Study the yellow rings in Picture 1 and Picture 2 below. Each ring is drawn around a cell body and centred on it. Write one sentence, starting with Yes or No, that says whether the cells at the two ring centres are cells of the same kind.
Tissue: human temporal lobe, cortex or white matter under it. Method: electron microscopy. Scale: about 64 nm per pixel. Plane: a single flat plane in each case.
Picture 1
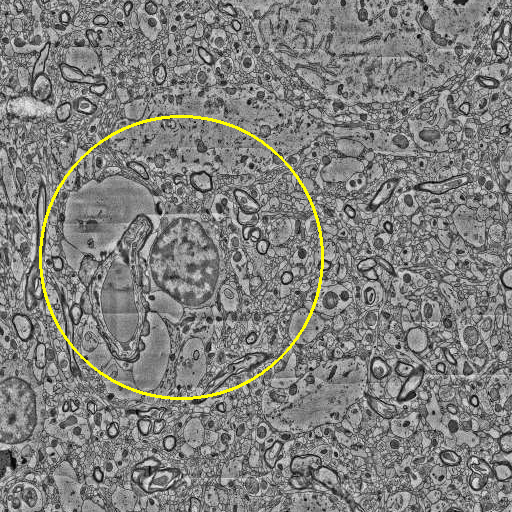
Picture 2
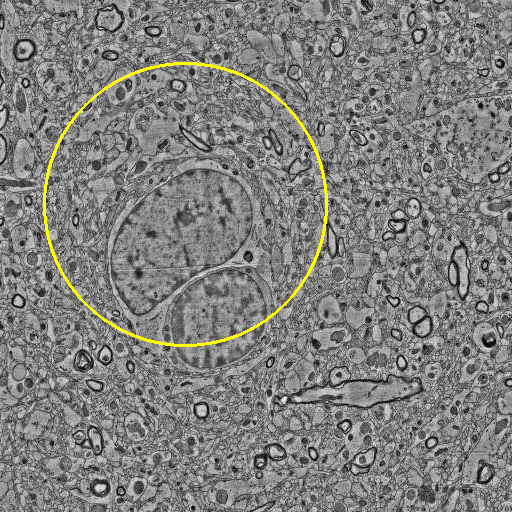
No, the cells at the ring centres are of two kinds.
